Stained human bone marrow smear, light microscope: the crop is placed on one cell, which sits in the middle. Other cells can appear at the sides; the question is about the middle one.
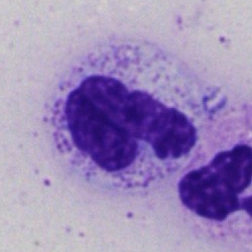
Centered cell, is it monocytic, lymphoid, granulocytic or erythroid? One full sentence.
The lineage of the cell at the center of the crop is granulocytic.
